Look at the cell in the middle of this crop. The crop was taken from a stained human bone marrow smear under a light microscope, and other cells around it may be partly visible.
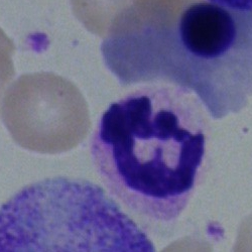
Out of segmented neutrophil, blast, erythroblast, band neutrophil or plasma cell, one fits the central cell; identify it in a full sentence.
Looking at the middle of the crop, the cell there is a segmented neutrophil.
